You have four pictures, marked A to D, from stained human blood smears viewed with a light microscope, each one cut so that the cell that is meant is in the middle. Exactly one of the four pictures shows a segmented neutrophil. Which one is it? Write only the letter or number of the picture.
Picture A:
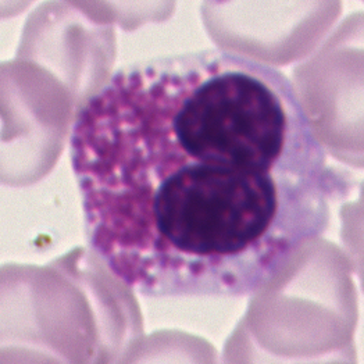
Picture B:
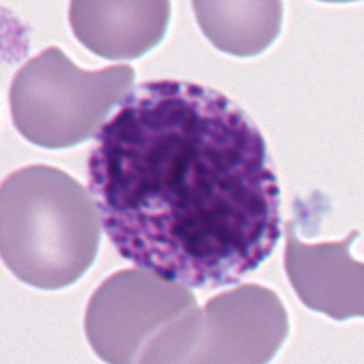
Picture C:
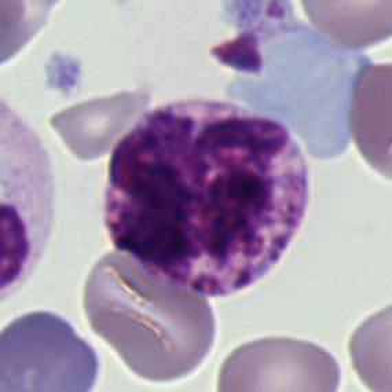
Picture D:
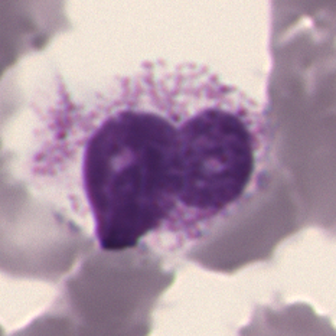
D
